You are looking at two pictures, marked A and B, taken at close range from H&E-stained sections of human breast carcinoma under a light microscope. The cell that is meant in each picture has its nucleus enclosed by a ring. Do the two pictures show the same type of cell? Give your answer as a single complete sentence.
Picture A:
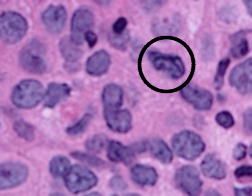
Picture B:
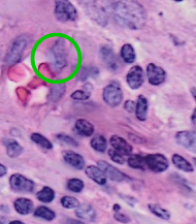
No, they differ: the cell is a carcinoma cell in picture A and an endothelial cell in picture B.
